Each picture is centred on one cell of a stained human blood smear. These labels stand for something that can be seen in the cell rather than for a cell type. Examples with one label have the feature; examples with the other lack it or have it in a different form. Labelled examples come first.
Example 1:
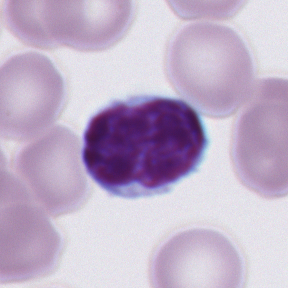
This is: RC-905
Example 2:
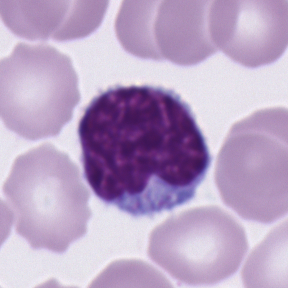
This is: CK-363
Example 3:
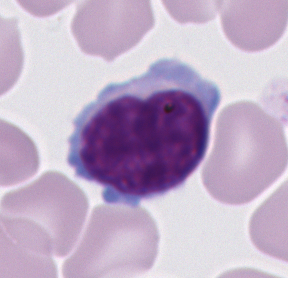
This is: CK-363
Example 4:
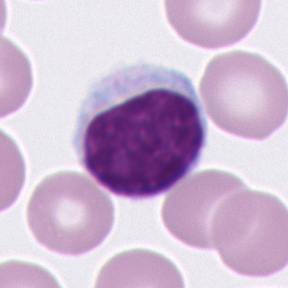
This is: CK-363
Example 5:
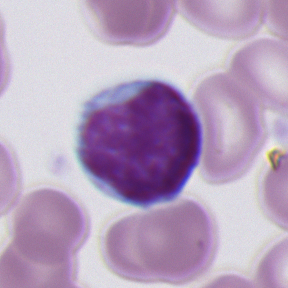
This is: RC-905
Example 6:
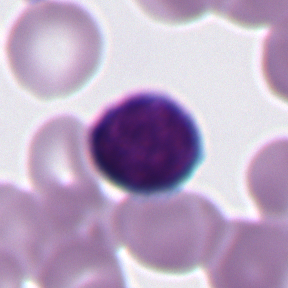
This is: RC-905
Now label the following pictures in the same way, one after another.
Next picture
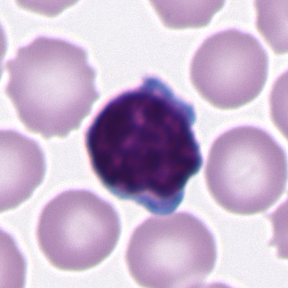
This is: CK-363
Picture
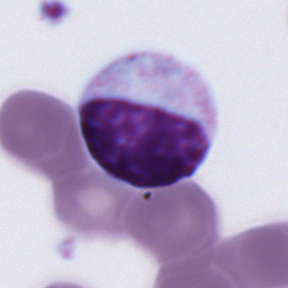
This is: RC-905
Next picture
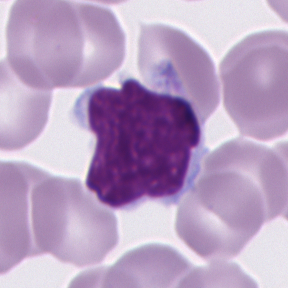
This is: CK-363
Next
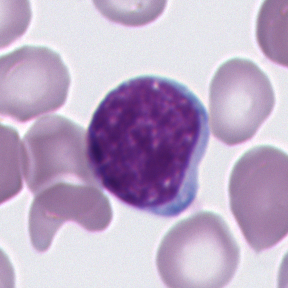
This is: RC-905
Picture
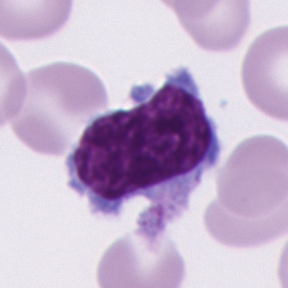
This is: CK-363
